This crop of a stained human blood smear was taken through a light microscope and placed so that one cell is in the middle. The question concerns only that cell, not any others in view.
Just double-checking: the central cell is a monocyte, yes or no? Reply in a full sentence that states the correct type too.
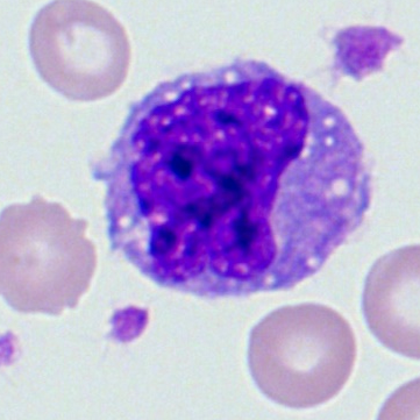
Yes, as regards the cell in the middle, it is a monocyte.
